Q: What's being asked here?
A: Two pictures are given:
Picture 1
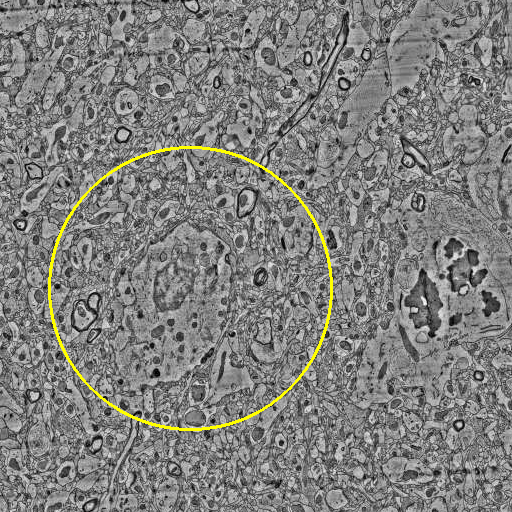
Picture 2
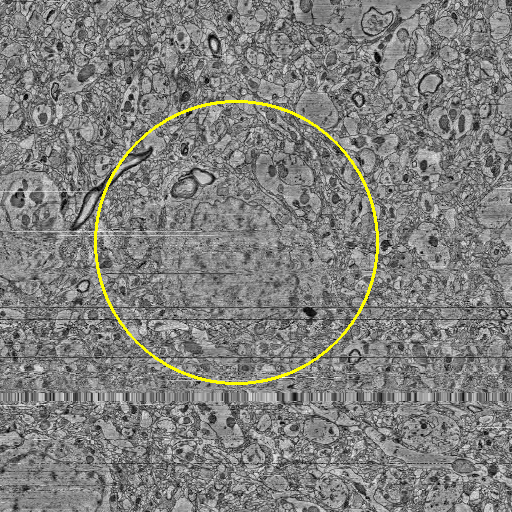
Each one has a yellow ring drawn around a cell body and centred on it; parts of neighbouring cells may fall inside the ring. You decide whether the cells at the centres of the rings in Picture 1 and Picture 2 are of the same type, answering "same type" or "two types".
same type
